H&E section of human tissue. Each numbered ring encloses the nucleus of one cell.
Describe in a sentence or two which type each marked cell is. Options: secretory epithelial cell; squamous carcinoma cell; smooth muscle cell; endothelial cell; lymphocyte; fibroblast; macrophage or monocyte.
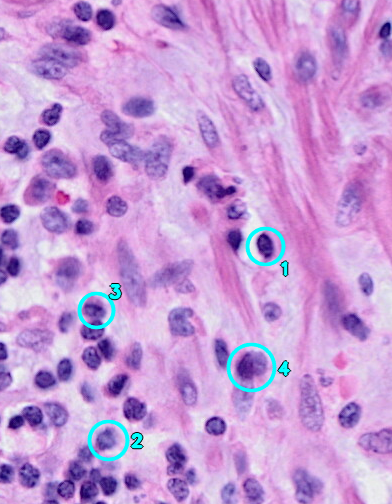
Cells 1, 2 and 3 are lymphocytes. Cell 4 is a macrophage or monocyte.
